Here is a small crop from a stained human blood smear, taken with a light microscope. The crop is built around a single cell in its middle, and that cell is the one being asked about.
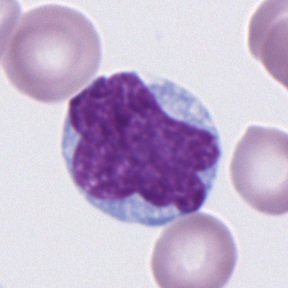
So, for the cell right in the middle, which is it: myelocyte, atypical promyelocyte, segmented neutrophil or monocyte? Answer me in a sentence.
The cell positioned in the middle of the field is a monocyte.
